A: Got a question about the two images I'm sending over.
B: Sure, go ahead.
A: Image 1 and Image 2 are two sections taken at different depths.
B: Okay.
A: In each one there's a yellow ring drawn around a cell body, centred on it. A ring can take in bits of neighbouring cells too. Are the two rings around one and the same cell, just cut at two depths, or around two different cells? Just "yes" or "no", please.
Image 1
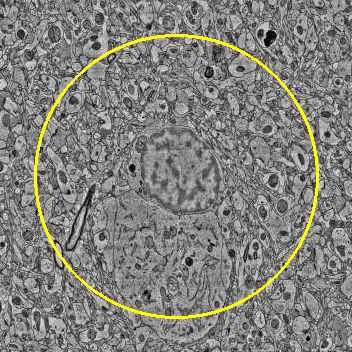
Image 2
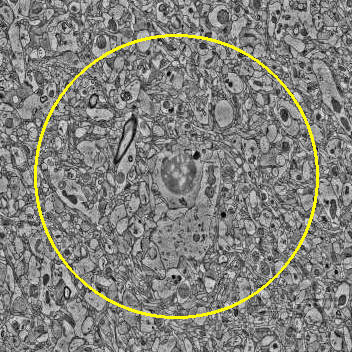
yes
